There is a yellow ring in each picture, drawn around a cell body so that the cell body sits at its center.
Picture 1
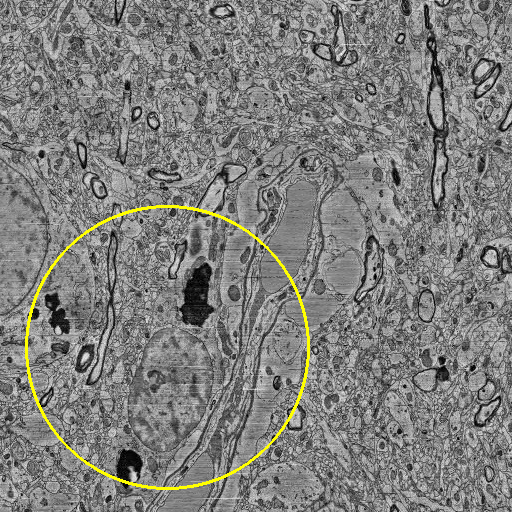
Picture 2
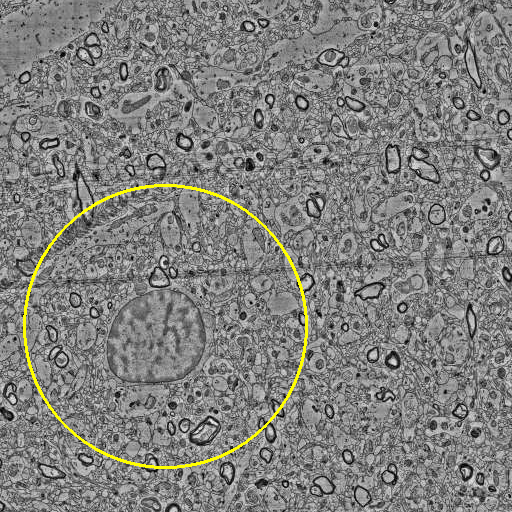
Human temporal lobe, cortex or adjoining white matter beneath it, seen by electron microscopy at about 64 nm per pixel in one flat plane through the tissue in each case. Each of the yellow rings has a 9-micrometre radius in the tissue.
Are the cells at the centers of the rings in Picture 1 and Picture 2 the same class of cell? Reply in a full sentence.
Yes, the two cells are the same class of cell.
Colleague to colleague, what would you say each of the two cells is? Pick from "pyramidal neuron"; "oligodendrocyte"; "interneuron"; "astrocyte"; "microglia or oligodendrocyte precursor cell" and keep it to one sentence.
In both pictures the ring is centred on an oligodendrocyte.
